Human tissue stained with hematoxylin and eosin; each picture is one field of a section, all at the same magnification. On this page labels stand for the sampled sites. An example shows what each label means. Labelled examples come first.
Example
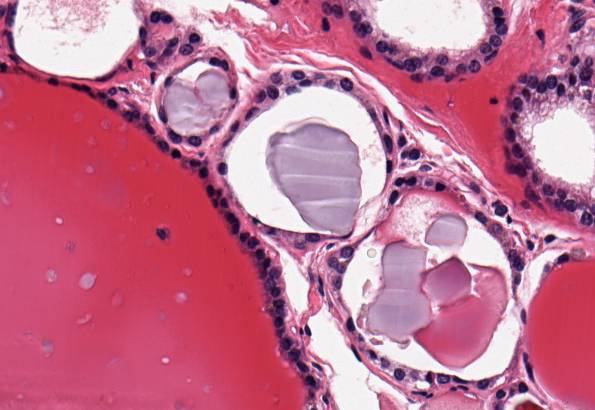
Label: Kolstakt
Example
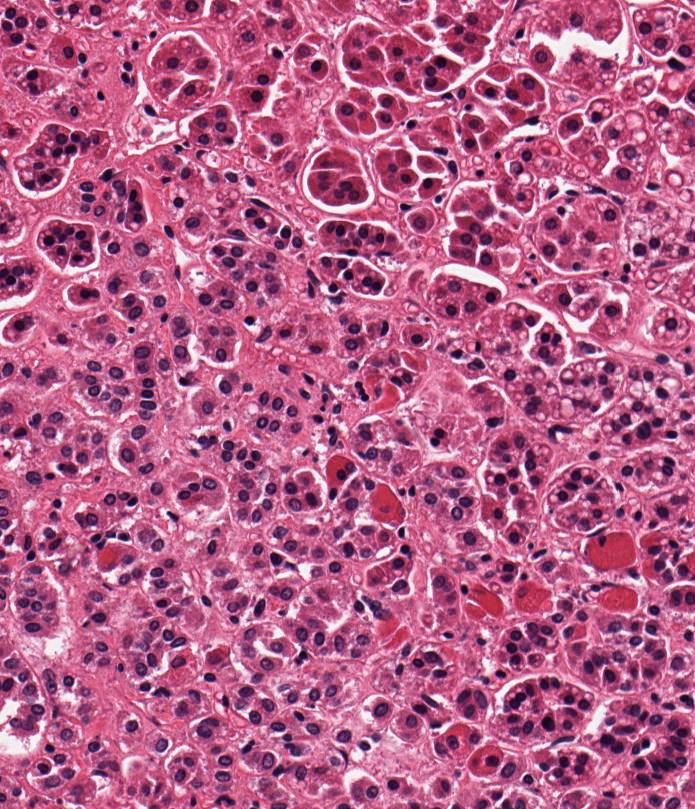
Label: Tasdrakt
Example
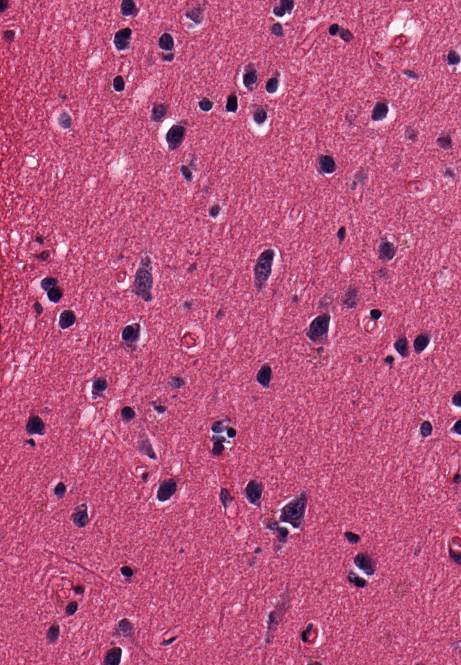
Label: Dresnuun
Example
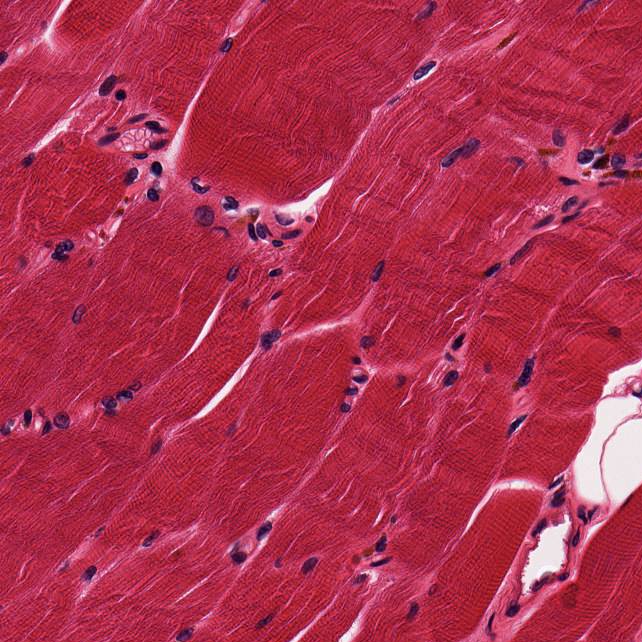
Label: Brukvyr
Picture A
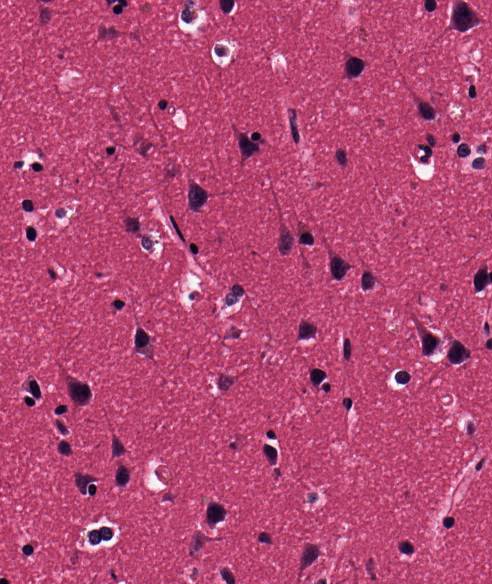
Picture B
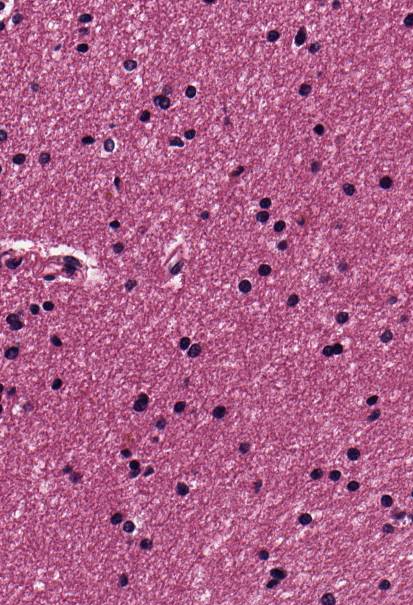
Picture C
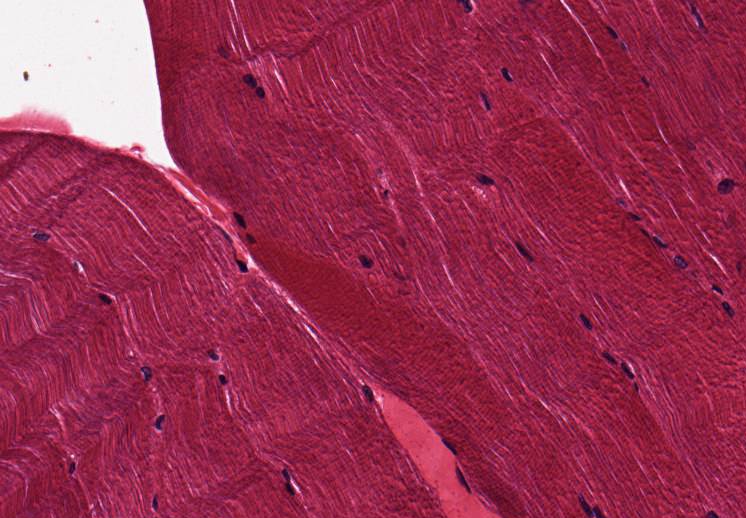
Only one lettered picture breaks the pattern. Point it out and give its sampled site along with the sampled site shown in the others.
C (Brukvyr) is the exception; every other picture is Dresnuun.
